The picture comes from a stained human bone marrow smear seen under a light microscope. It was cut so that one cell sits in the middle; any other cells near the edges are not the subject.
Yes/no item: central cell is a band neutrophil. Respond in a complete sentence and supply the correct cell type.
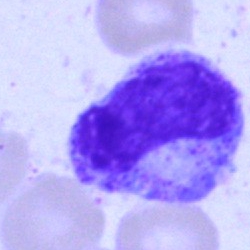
No, the cell in the centre is to be called a metamyelocyte instead of a band neutrophil.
